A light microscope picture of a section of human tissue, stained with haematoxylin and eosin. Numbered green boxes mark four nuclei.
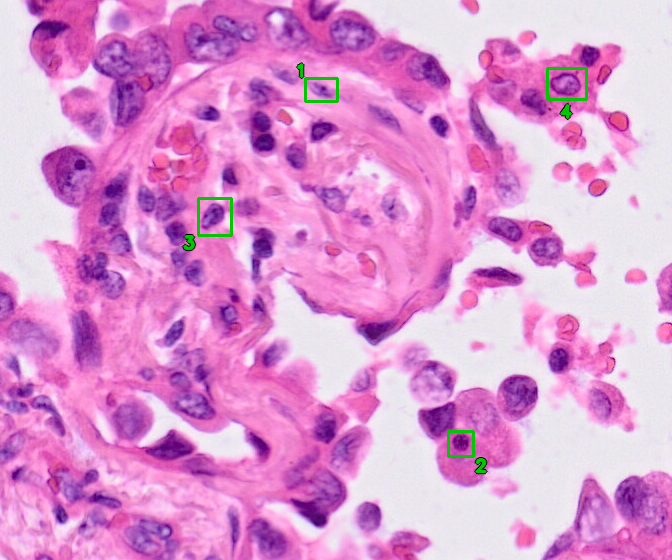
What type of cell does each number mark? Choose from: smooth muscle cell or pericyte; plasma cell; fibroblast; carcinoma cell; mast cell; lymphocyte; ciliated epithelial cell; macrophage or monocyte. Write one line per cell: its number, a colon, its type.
1: fibroblast
2: carcinoma cell
3: lymphocyte
4: macrophage or monocyte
